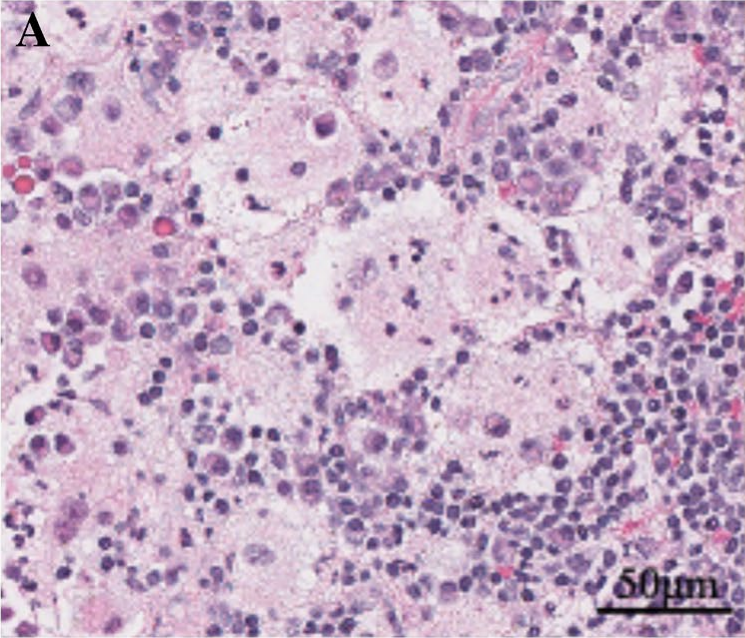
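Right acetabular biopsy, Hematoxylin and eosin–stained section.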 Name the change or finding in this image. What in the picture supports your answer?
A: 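Large pale pink cells contain small dark round nuclei of other cells within their cytoplasm. These large cells are surrounded by many small round cells. On this evidence: emperipolesis.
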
